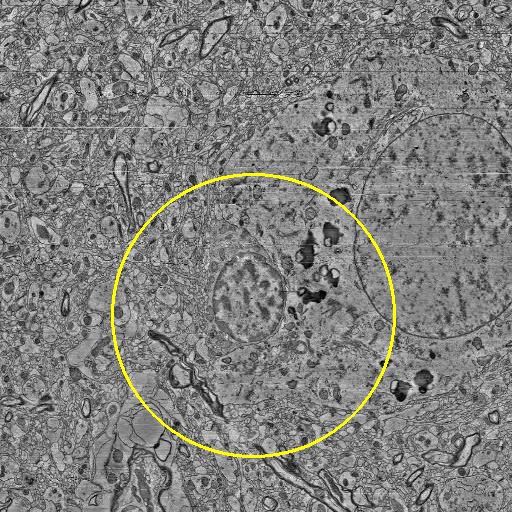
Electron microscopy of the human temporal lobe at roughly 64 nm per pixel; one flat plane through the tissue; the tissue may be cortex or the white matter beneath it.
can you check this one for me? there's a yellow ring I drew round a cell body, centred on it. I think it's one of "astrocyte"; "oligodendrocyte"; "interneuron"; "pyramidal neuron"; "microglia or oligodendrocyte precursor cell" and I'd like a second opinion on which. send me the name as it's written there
oligodendrocyte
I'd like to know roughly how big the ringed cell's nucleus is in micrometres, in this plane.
Approximately 6 by 5 micrometers in this plane.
